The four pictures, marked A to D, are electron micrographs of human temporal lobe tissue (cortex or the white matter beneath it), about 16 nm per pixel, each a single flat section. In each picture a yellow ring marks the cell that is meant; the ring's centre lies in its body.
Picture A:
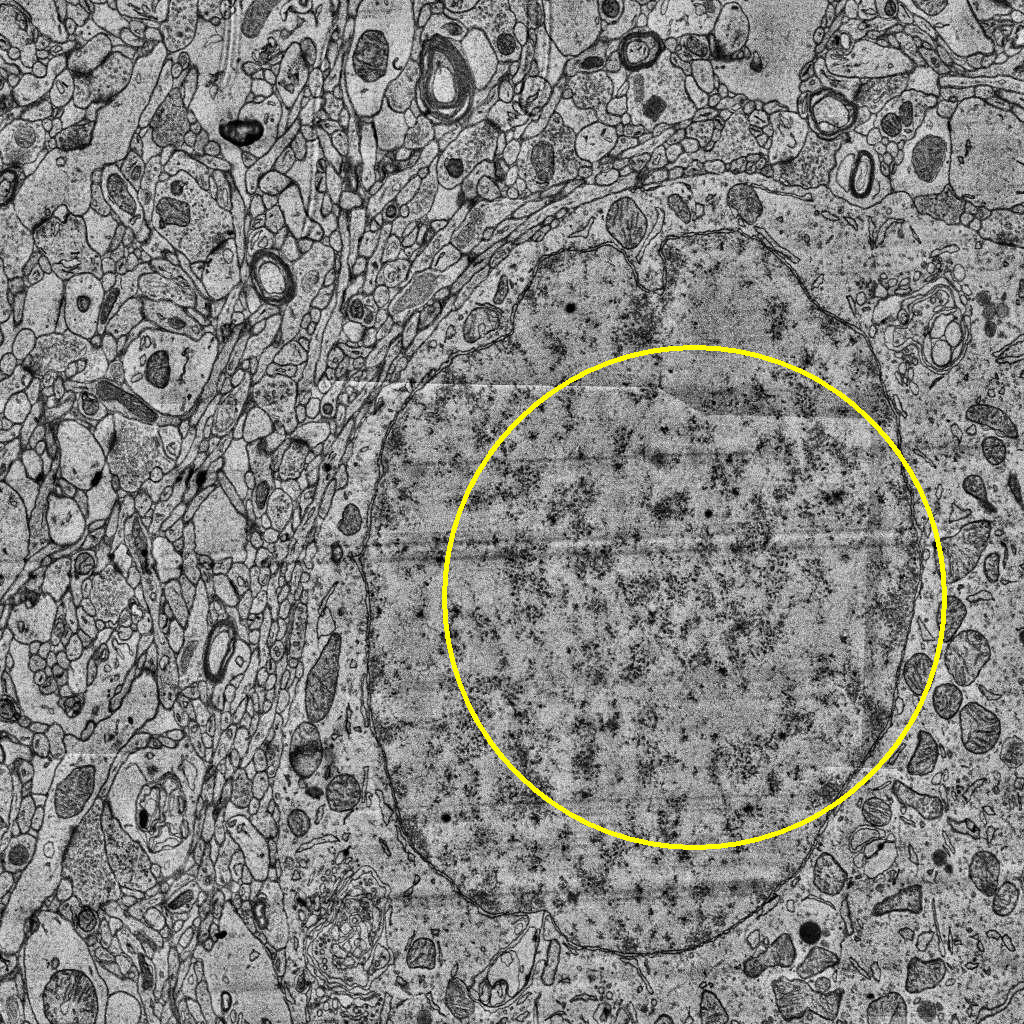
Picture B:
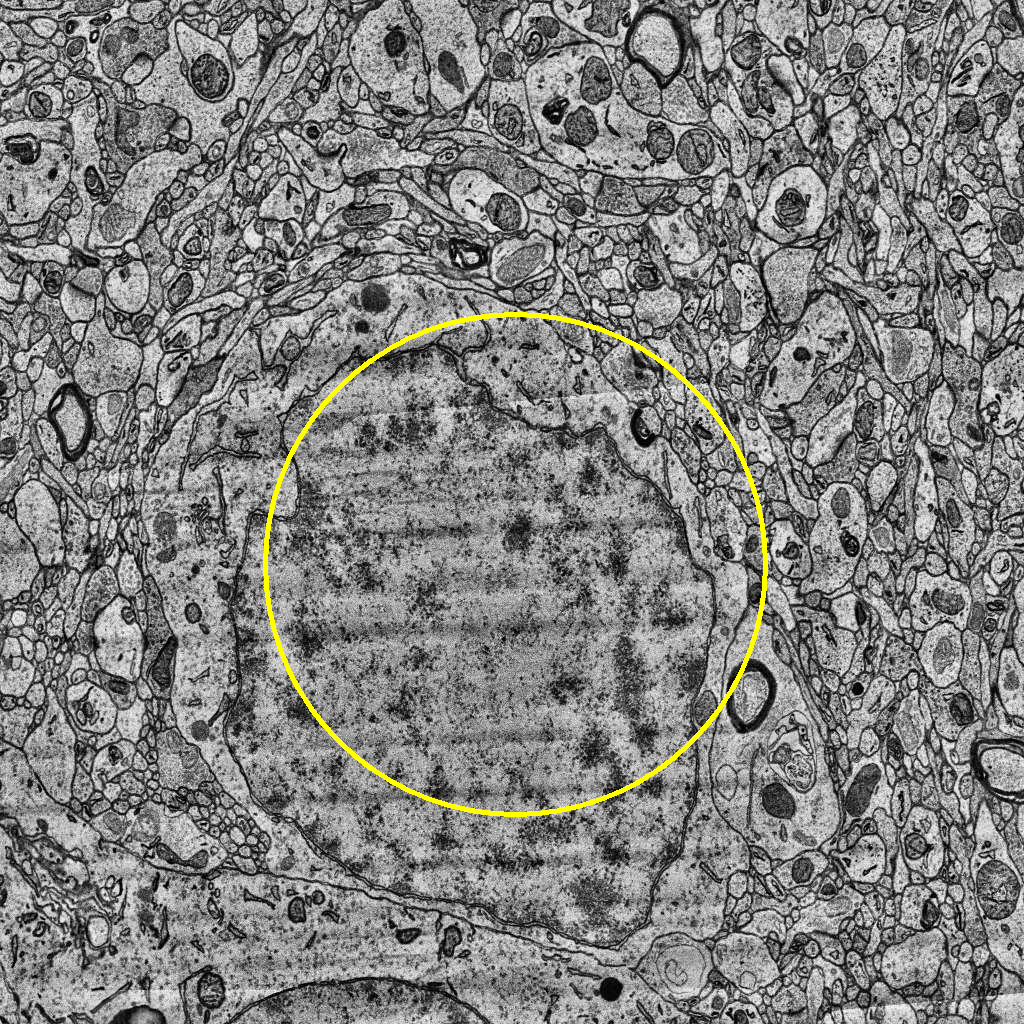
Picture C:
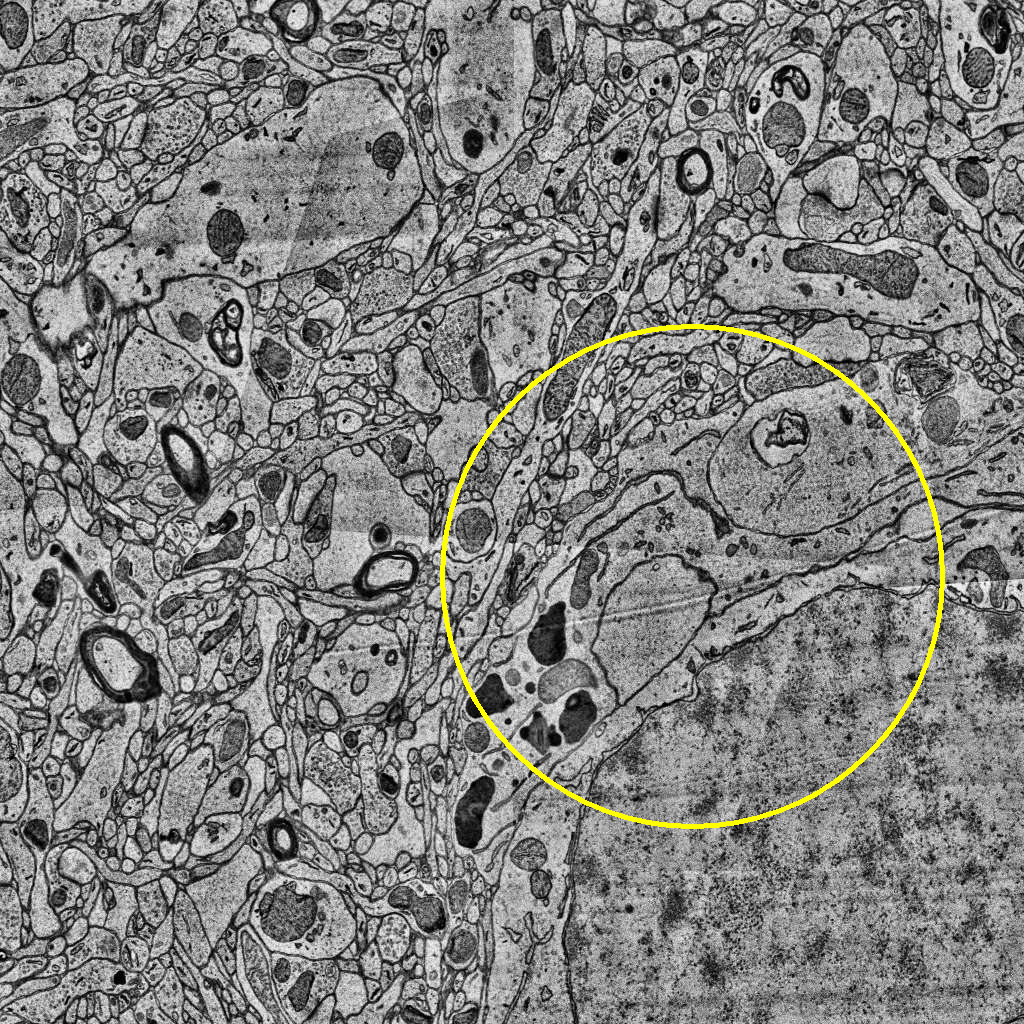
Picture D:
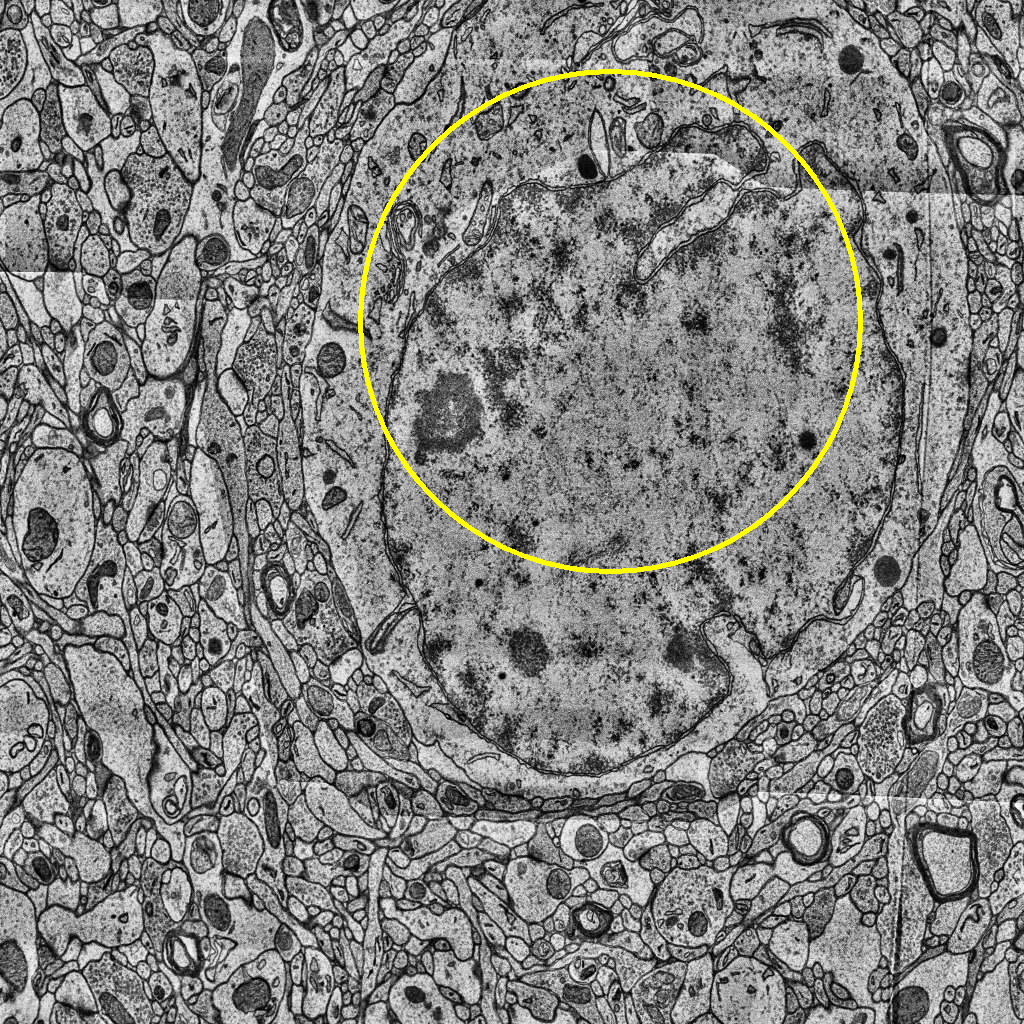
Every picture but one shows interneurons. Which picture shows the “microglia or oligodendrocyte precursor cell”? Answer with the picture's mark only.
C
